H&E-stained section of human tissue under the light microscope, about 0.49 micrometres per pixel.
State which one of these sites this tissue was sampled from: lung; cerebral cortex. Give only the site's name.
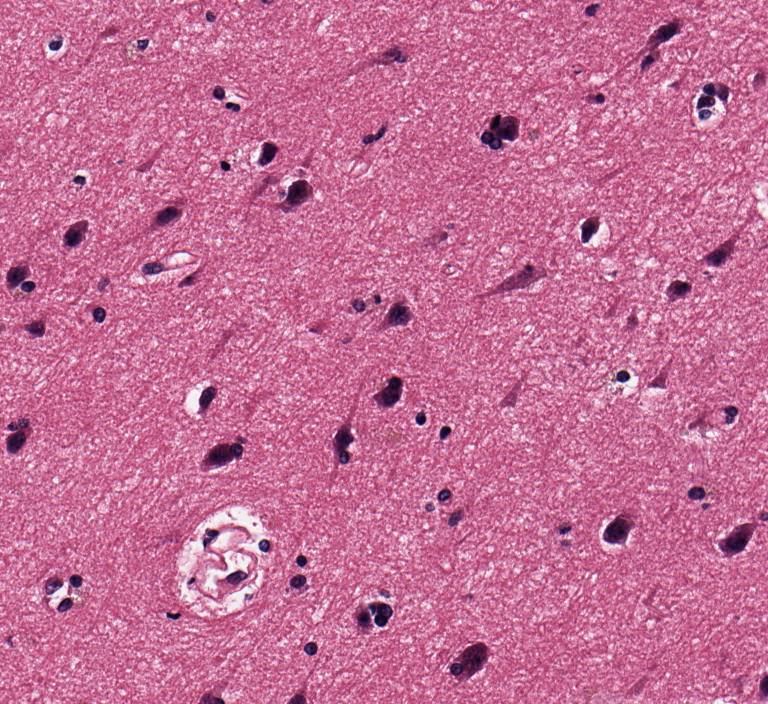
cerebral cortex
